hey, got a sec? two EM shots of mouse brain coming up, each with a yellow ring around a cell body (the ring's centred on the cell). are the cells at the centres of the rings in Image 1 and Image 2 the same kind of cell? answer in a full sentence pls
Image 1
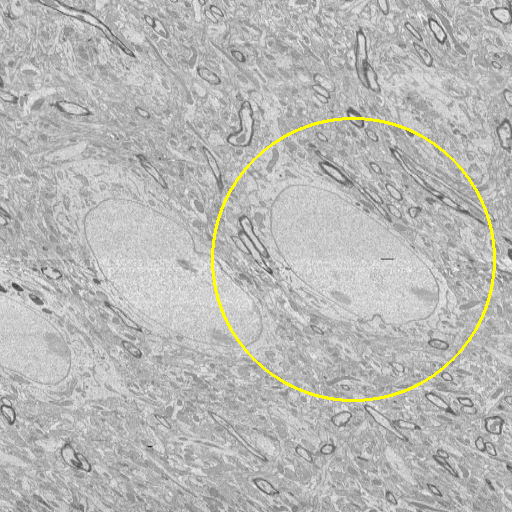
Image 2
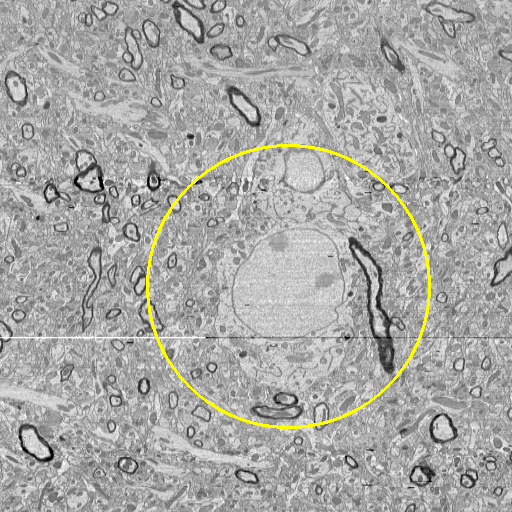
Yes, both are the same kind of cell.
